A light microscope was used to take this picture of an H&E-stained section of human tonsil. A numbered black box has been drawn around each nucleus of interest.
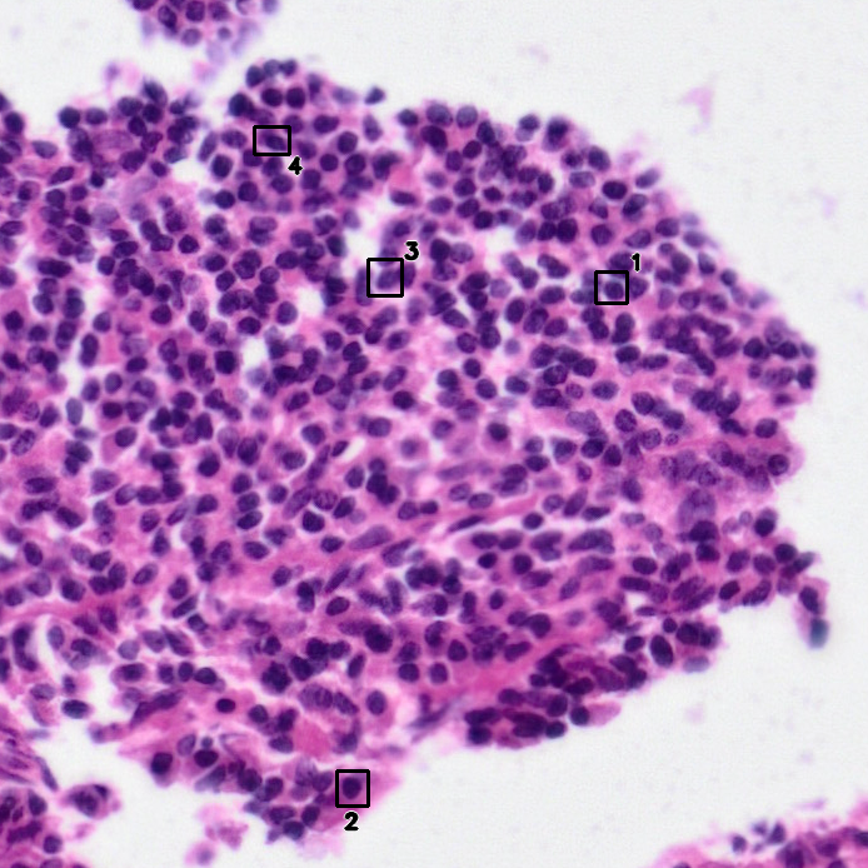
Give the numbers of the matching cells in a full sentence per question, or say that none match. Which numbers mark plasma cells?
Cell 2 is a plasma cell, which is true of none of the other numbered cells.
